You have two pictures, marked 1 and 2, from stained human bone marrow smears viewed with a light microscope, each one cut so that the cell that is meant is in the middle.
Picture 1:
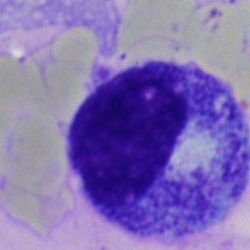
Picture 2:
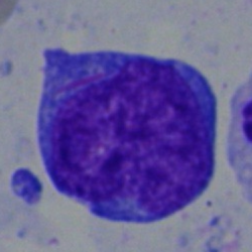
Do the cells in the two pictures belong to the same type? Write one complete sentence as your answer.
No; the cell in picture 1 is a promyelocyte, while the one in picture 2 is a blast.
